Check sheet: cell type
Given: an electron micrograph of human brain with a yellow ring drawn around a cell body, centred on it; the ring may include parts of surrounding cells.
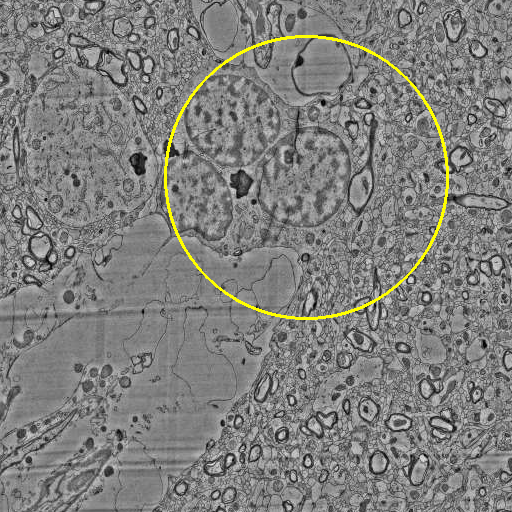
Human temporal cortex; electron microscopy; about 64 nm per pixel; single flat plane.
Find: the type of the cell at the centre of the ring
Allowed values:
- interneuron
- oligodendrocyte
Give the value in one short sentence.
Here the ringed cell is an oligodendrocyte.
